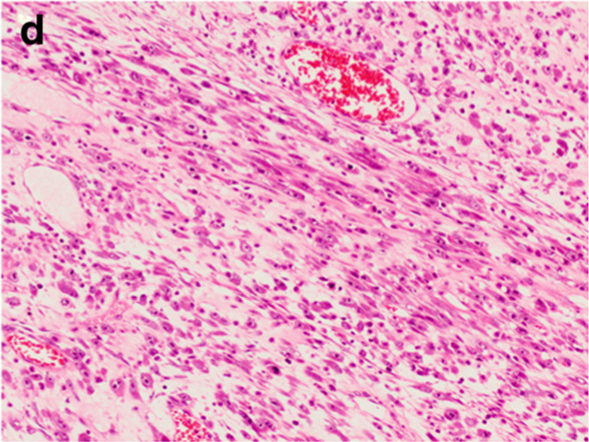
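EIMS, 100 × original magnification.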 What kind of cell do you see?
Spindle cell component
